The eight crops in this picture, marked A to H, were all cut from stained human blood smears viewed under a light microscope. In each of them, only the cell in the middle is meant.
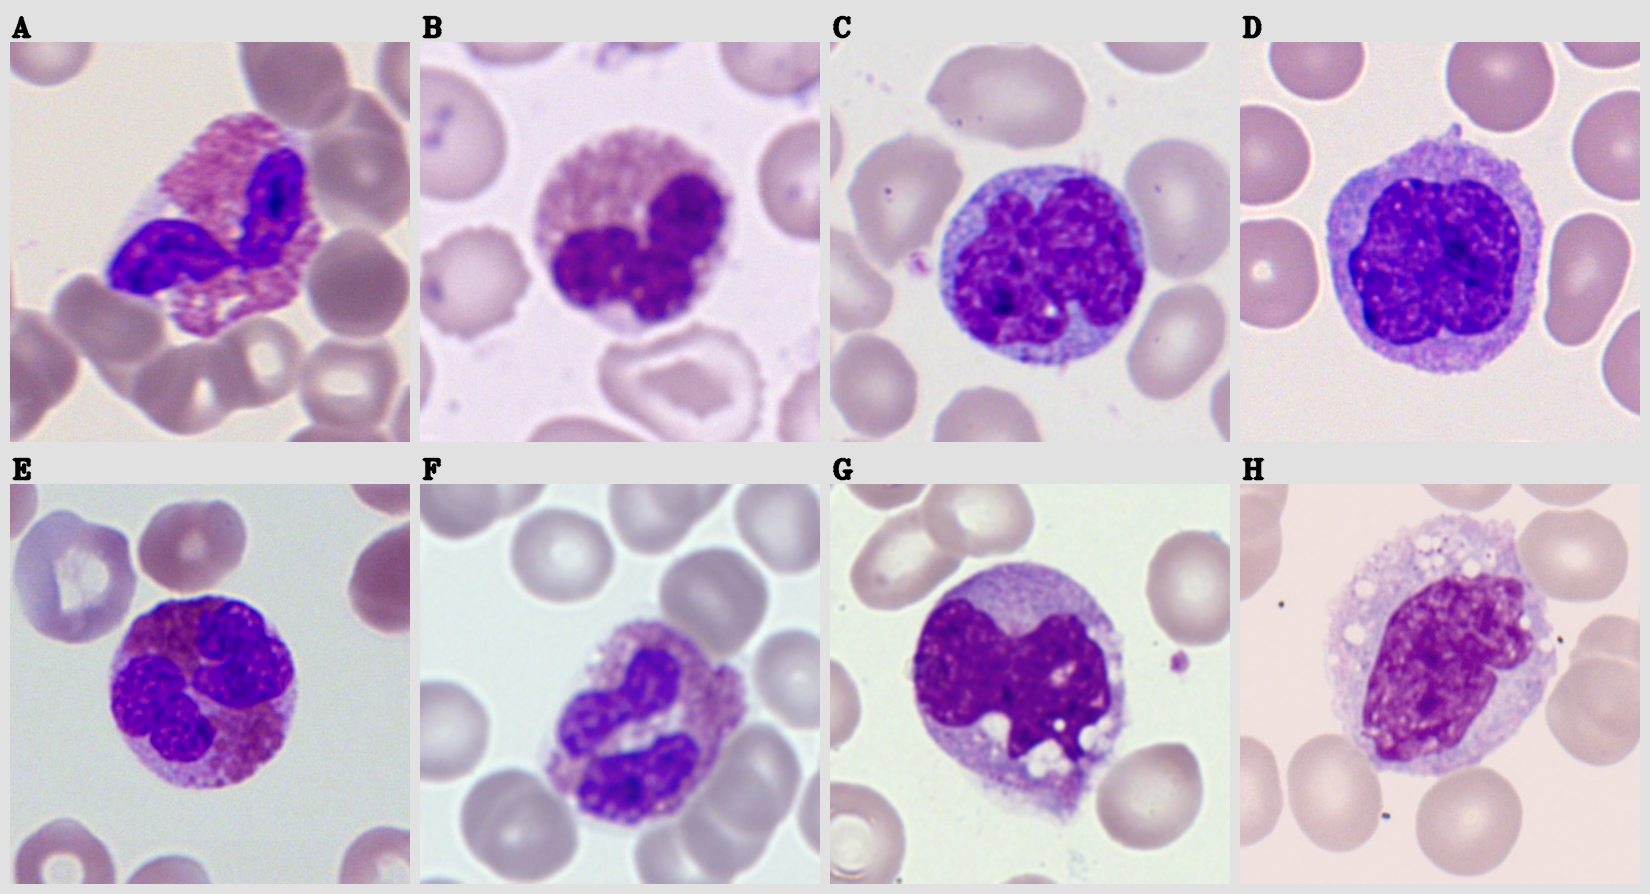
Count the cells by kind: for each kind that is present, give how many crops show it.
eosinophil: 4
monocyte: 4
